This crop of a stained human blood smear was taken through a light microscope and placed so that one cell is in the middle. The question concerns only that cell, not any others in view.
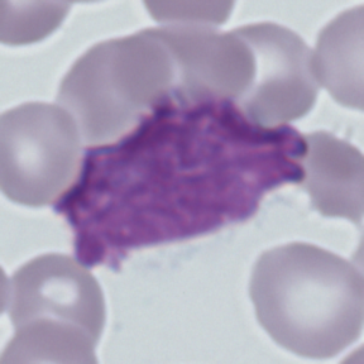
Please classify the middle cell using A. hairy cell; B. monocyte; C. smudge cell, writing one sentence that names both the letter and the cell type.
The cell right in the middle is a smudge cell, so option C is the one.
